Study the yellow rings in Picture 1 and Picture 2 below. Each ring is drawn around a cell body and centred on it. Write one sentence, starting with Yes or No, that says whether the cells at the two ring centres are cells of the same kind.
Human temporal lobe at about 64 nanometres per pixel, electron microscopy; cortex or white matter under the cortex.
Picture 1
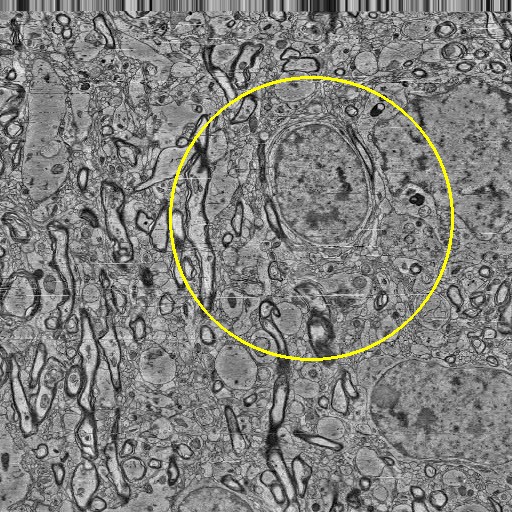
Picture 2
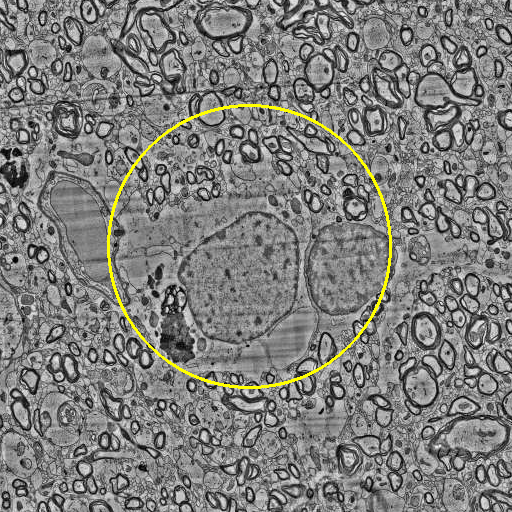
Yes, the cells at both ring centres are of the same kind.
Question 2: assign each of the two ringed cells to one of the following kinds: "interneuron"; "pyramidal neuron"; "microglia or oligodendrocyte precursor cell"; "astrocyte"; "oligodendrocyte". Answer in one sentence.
Each of the two cells is a microglial cell or oligodendrocyte precursor cell.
